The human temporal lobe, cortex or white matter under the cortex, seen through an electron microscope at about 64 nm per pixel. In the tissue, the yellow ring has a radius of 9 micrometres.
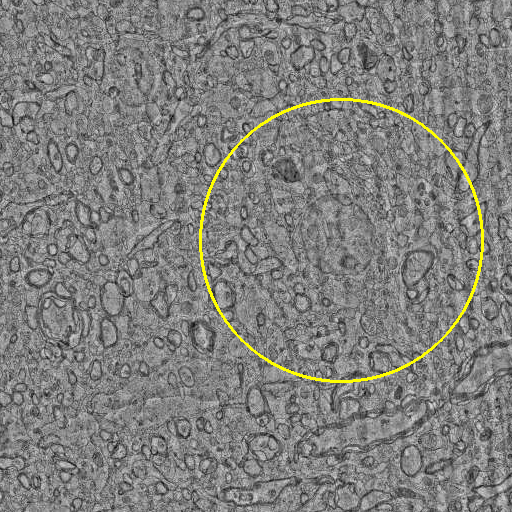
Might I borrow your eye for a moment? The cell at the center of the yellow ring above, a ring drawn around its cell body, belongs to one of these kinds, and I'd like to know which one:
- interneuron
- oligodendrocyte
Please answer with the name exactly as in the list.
oligodendrocyte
